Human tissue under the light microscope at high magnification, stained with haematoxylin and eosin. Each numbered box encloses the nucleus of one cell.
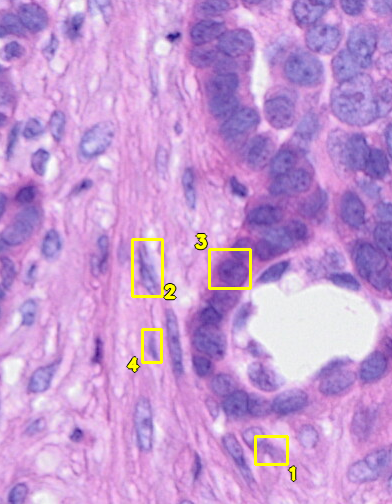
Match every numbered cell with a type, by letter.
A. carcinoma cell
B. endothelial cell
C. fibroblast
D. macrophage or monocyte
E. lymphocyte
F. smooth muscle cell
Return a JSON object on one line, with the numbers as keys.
{"1": "C", "2": "C", "3": "A", "4": "C"}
